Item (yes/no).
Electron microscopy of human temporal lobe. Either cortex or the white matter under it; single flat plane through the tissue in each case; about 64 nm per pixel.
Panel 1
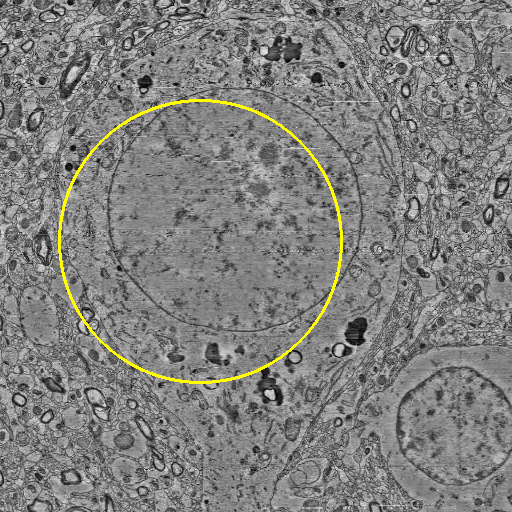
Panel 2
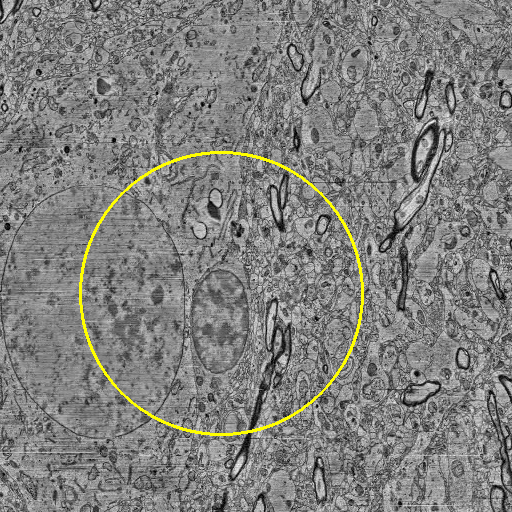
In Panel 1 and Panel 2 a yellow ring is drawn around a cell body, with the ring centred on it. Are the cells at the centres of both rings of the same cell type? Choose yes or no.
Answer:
no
